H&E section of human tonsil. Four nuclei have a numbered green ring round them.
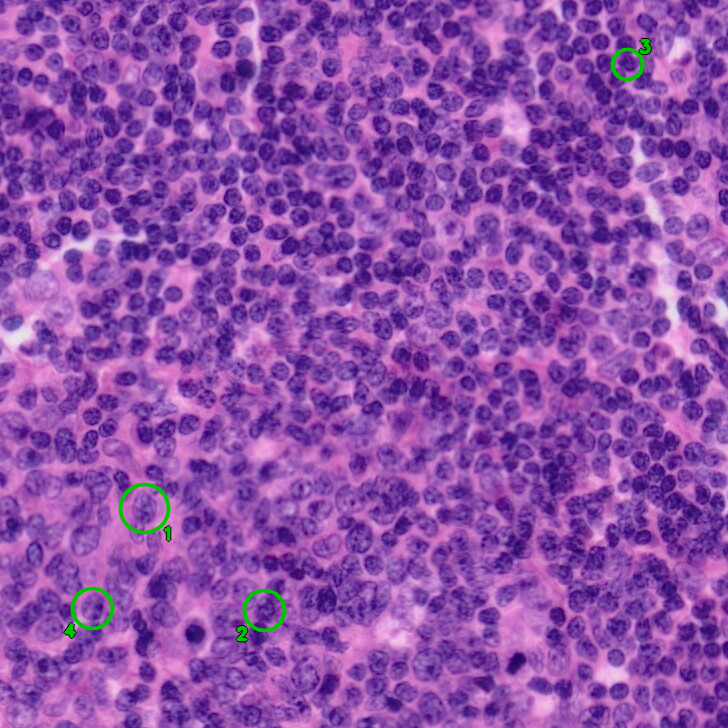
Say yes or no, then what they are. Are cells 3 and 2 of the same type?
No, with respect, cell 3 is a small lymphocyte and cell 2 is a proliferating B cell.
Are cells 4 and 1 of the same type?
Yes, among the marked cells, numbers 4 and 1 are both proliferating B cells.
